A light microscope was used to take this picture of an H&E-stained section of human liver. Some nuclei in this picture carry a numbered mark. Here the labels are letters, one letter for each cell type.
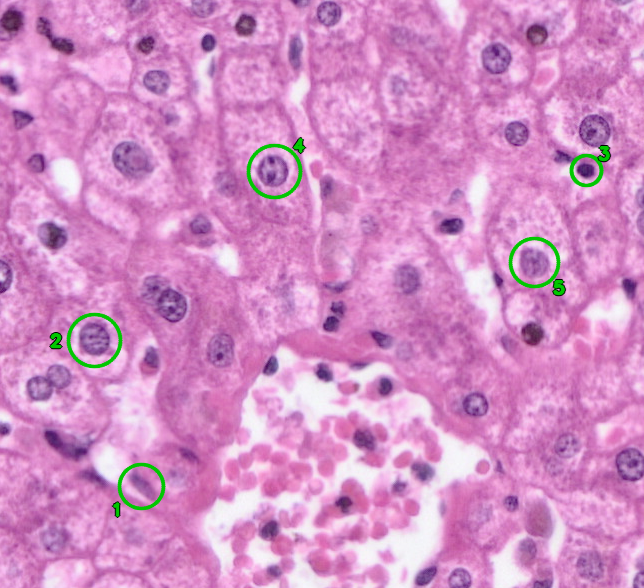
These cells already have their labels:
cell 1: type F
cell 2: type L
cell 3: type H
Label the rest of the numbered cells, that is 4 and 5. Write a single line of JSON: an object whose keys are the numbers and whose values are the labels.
{"4": "type L", "5": "type L"}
